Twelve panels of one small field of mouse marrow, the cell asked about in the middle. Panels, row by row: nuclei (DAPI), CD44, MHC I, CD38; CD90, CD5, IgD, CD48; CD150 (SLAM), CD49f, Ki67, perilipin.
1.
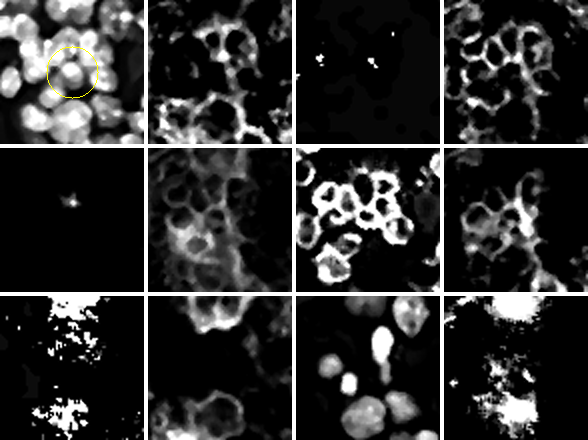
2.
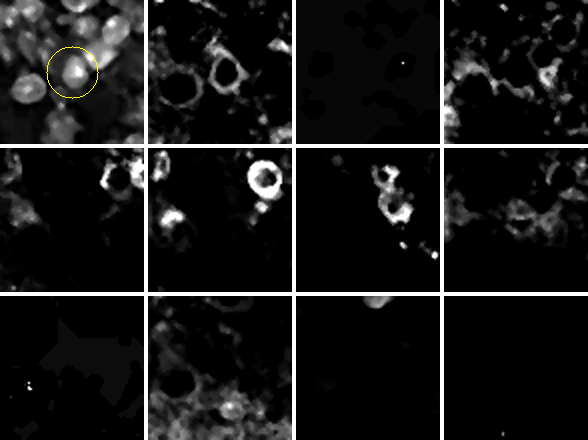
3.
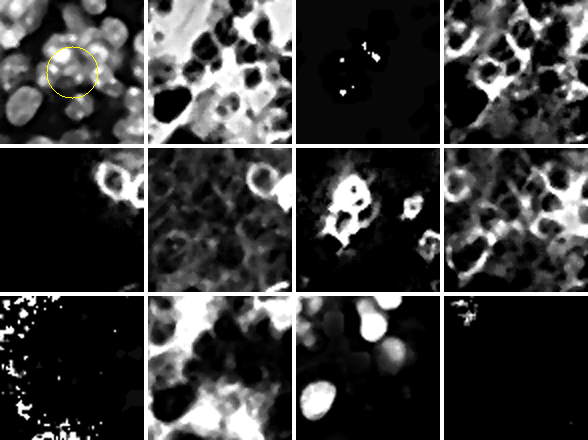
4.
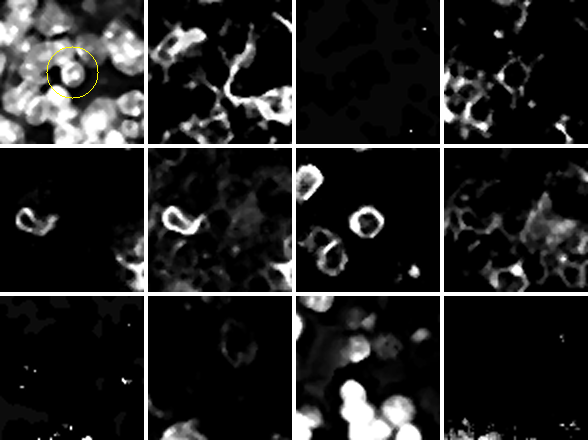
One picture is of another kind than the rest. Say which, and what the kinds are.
Picture 2 shows a monocyte; the rest show B cells.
